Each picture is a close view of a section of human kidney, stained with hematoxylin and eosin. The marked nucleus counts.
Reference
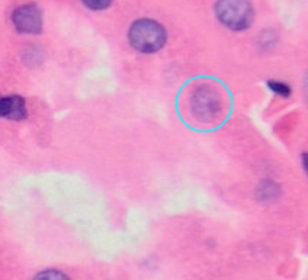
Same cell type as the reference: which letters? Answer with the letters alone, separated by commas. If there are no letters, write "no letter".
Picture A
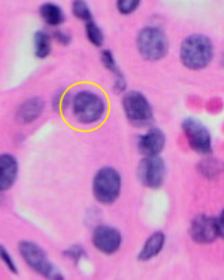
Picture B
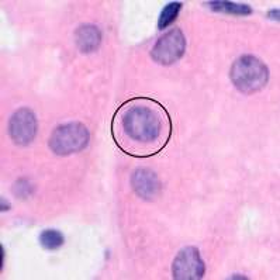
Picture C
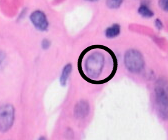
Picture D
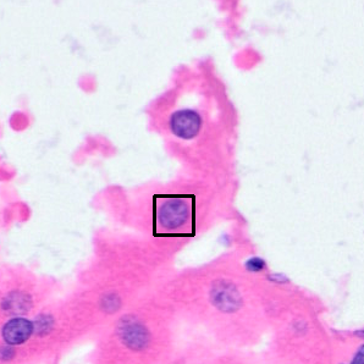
B, D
